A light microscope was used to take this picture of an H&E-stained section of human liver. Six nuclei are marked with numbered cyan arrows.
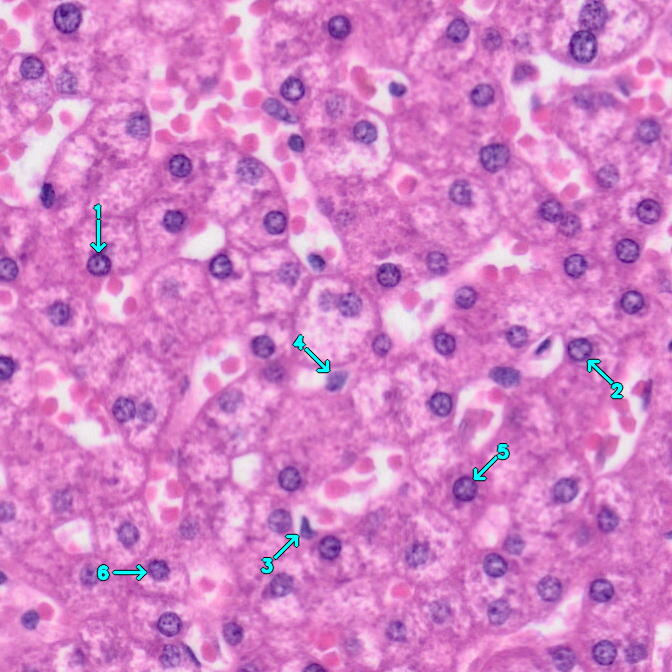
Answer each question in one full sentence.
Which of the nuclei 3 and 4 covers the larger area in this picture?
It is nucleus 4, which covers about 1.5 times the area of nucleus 3.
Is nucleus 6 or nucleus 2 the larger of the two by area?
Nucleus 2 is larger, with an area about 1.5 times that of nucleus 6.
